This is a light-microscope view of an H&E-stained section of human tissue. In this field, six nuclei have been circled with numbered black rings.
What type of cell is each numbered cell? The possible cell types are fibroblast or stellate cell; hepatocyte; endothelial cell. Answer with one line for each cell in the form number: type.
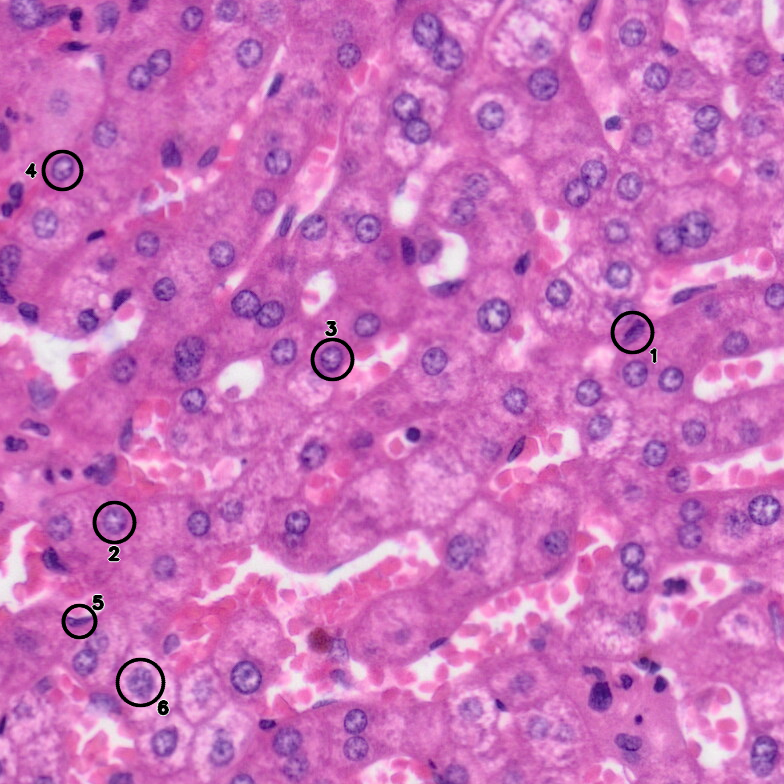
1: fibroblast or stellate cell
2: hepatocyte
3: hepatocyte
4: hepatocyte
5: endothelial cell
6: hepatocyte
